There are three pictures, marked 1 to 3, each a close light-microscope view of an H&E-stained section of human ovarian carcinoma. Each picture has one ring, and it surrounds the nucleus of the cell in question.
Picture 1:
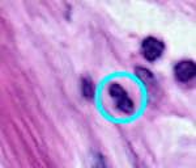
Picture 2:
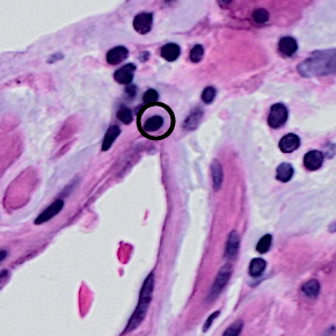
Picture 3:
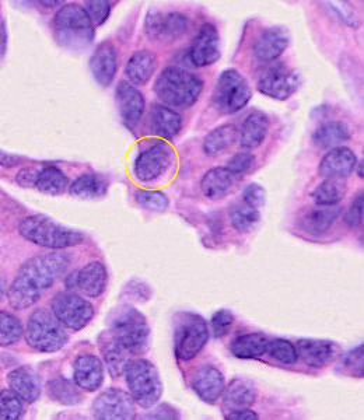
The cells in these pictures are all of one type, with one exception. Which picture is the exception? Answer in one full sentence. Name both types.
Unlike the rest, which show lymphocytes, picture 3 shows a carcinoma cell.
